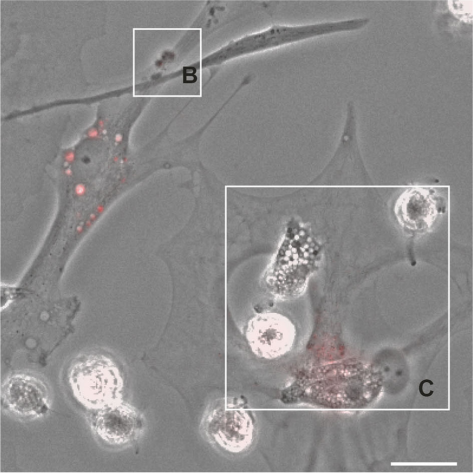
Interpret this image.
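Large flat spread cells with long thin processes form a pale background layer, one of them holding several red fluorescent round droplets in its cytoplasm. On top lie smaller, rounded, phase-bright cells, some granular and some with a bright halo, scattered singly or in pairs, and one sits over a patch of red granular material in a flat cell. Small dark round bodies lie beside a thin process.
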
